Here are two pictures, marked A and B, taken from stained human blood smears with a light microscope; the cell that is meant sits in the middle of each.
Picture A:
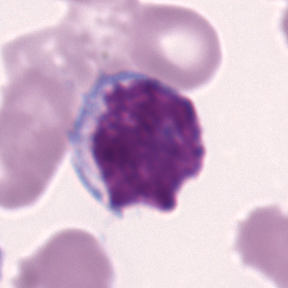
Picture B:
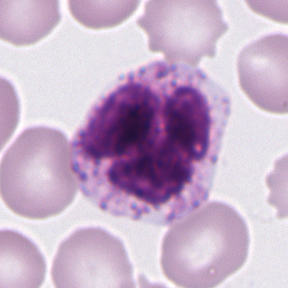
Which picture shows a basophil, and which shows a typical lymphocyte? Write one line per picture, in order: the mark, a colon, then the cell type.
A: typical lymphocyte
B: basophil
